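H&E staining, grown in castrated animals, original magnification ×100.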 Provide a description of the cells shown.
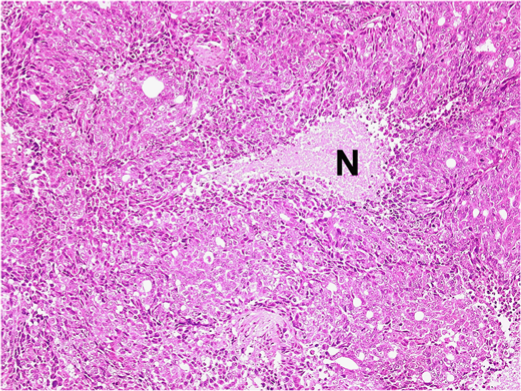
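This low-power section shows solid tumour tissue in which crowded cells with pink cytoplasm and darker nuclei form sheets and streaming bundles, some areas looking more spindled and darker than others. Scattered round clear spaces interrupt the sheets, especially on the right. Near the centre lies an elongated pale area of necrosis, a structureless pink zone where cells have disappeared, bordered by darker viable cells and some scattered nuclear debris. No normal tissue architecture is recognisable among the tumour cells.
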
